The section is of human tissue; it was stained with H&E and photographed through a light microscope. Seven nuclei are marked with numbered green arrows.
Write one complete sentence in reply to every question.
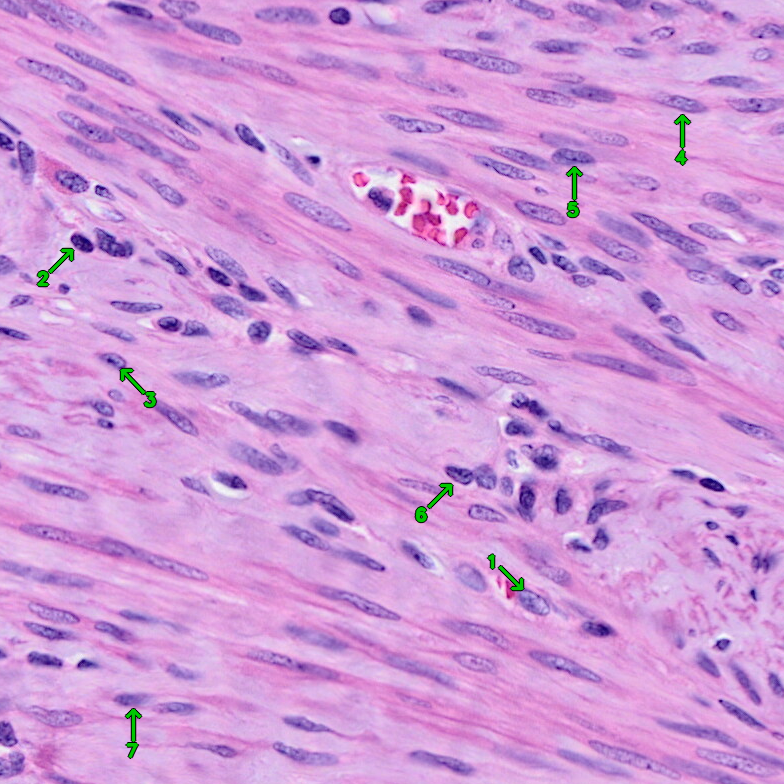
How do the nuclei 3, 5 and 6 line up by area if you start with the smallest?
From smallest to largest, the order is 3, 6, 5.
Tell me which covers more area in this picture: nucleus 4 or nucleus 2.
It is nucleus 4, which covers about 3 times the area of nucleus 2.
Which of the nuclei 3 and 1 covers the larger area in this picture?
Number 1 is larger; its area is about 2.5 times that of number 3.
